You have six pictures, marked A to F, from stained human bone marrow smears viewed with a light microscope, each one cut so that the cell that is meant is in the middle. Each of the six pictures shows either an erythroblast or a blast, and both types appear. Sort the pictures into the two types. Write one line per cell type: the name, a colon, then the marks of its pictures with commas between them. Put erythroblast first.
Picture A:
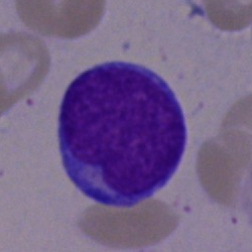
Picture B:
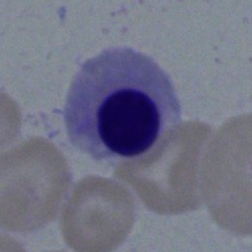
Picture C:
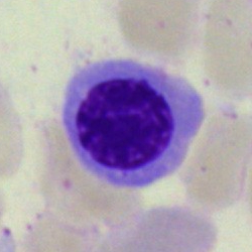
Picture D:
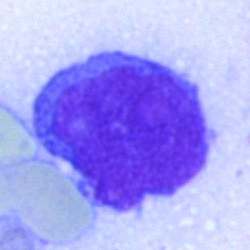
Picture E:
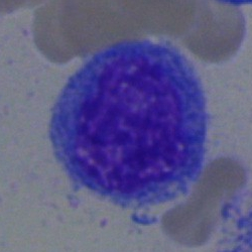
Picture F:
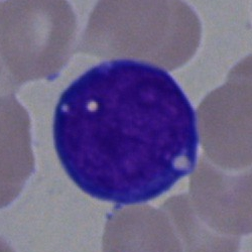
erythroblast: B, C
blast: A, D, E, F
